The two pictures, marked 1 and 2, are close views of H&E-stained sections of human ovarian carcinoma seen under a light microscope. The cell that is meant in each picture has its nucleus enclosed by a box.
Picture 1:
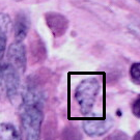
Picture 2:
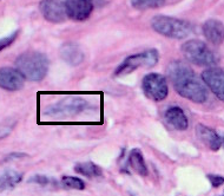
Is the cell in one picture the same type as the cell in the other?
no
